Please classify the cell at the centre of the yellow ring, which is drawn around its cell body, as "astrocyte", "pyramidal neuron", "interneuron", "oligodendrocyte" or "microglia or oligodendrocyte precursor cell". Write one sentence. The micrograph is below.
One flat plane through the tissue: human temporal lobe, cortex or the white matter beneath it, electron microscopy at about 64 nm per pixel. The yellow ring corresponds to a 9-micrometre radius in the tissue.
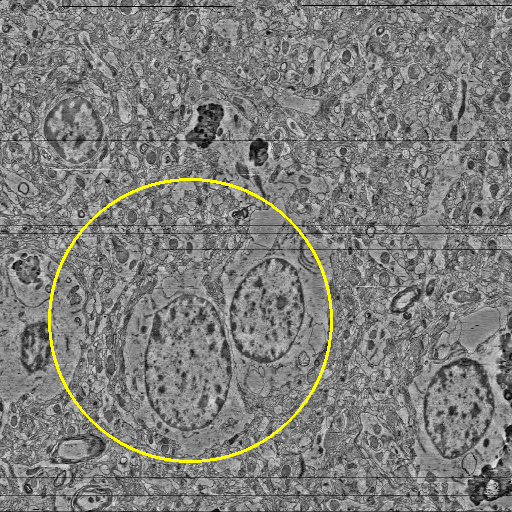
The cell at the ring's centre is classified as an astrocyte.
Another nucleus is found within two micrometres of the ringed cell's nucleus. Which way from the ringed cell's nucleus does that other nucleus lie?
The second nucleus is to the upper right of it.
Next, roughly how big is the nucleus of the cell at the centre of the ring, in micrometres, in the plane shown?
About 9 by 5 micrometers in this plane, so the nucleus is clearly longer than it is wide.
